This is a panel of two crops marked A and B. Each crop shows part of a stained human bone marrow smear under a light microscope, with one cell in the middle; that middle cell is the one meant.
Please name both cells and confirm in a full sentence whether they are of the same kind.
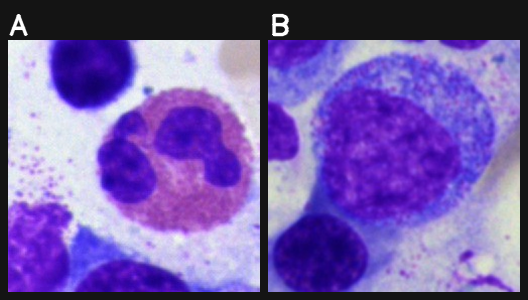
No, what crop A shows is an eosinophil, and what crop B shows is a promyelocyte.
